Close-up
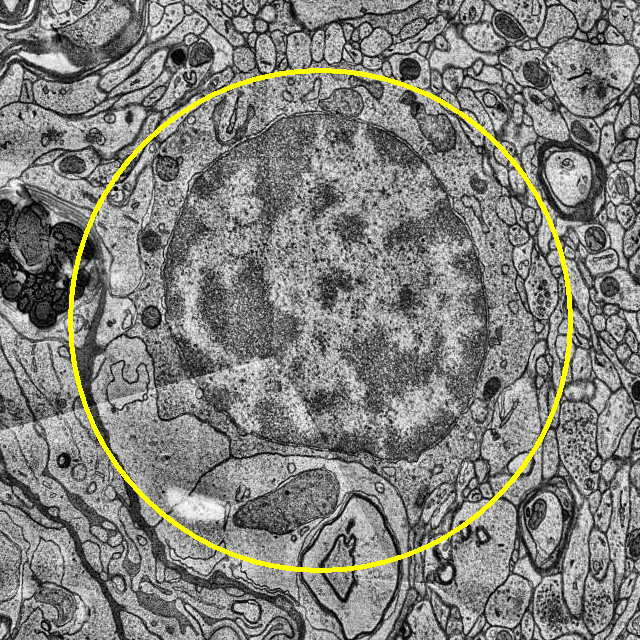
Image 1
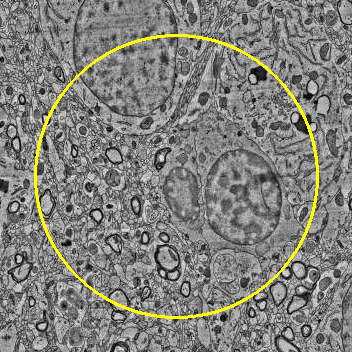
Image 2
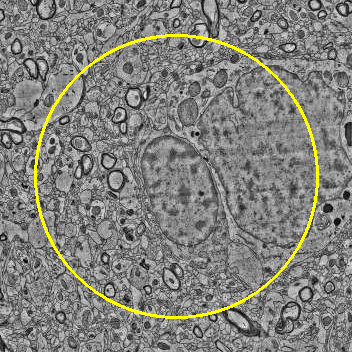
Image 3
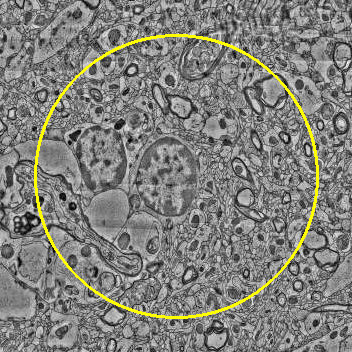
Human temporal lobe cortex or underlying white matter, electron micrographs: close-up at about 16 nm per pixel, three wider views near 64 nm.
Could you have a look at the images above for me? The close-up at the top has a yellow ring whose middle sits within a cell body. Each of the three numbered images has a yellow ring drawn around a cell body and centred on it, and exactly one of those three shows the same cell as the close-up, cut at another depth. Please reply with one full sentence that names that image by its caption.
The yellow ring in Image 3 marks the cell seen in the close-up.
